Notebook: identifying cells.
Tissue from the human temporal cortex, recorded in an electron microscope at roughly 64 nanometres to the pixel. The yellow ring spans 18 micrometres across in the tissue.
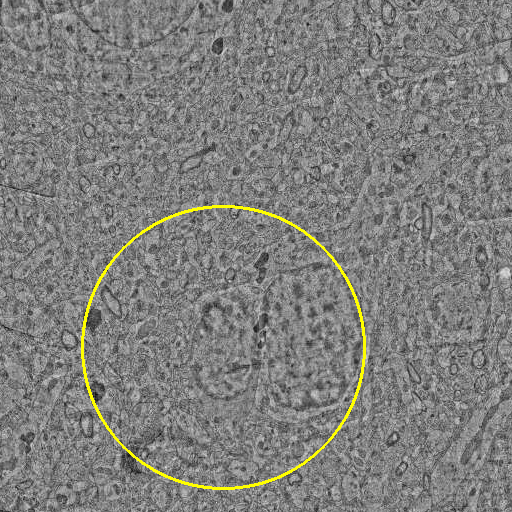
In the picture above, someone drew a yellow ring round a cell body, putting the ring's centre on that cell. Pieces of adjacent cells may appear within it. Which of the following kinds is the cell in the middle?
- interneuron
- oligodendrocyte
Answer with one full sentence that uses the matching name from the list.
In this picture, the yellow ring is centred on the body of an oligodendrocyte.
